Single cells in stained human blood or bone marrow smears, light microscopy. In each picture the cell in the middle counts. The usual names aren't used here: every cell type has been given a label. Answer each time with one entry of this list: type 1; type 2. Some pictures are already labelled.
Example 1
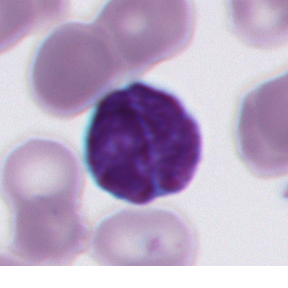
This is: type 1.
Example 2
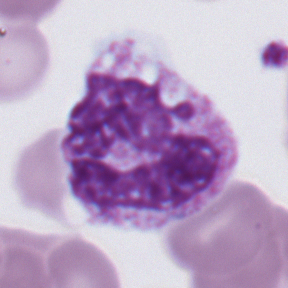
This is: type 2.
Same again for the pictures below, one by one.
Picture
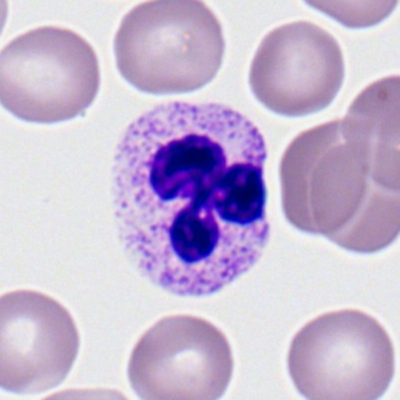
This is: type 2.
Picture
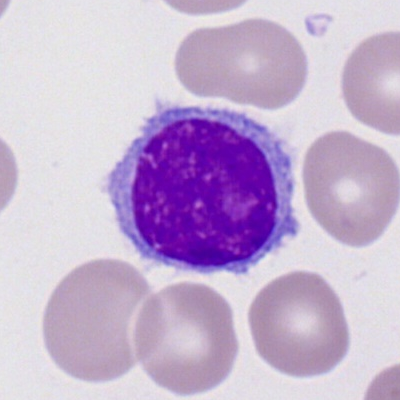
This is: type 1.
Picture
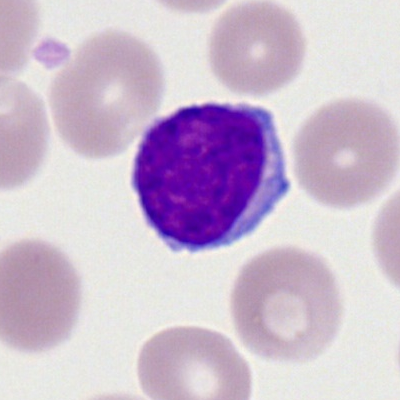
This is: type 1.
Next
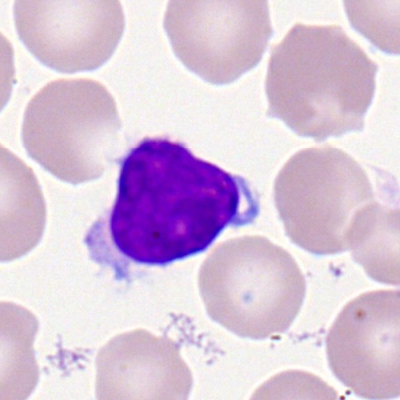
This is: type 1.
